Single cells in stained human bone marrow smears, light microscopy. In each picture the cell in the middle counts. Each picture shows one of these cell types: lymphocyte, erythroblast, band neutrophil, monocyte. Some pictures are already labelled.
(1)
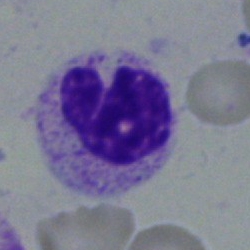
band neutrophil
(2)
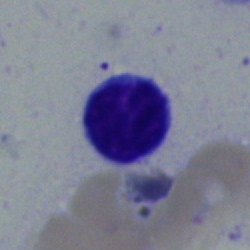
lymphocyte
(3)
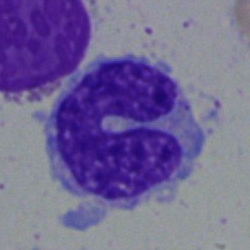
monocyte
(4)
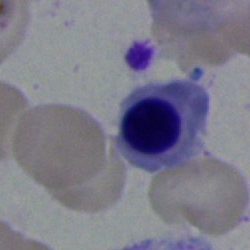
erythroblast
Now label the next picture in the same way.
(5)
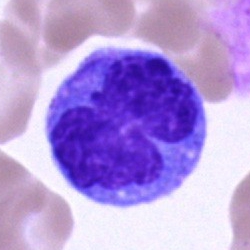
monocyte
